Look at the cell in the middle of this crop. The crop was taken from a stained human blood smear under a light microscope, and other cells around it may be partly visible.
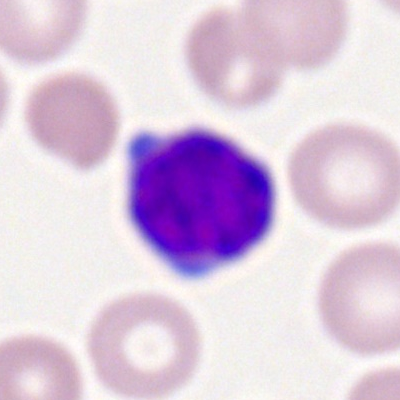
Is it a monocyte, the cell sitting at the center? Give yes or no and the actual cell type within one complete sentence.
No, this cell in the middle is a lymphocyte, so it is not a monocyte.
